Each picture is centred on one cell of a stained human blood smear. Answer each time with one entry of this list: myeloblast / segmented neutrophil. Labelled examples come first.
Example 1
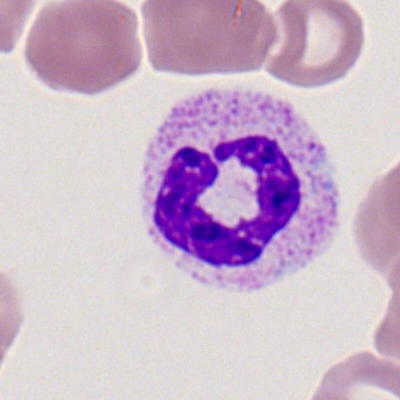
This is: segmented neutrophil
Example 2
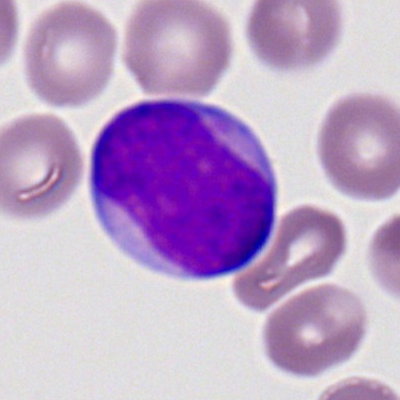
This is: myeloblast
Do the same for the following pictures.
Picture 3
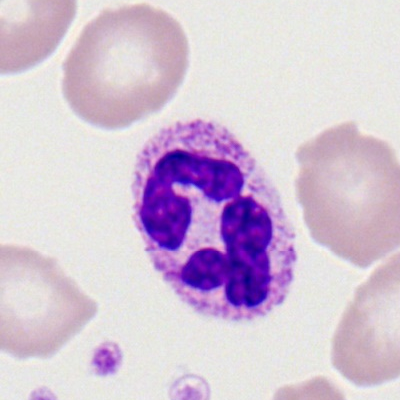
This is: segmented neutrophil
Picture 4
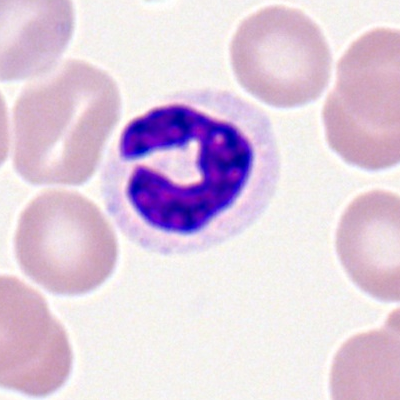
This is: segmented neutrophil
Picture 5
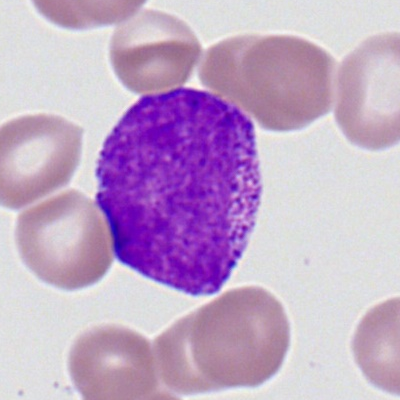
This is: myeloblast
